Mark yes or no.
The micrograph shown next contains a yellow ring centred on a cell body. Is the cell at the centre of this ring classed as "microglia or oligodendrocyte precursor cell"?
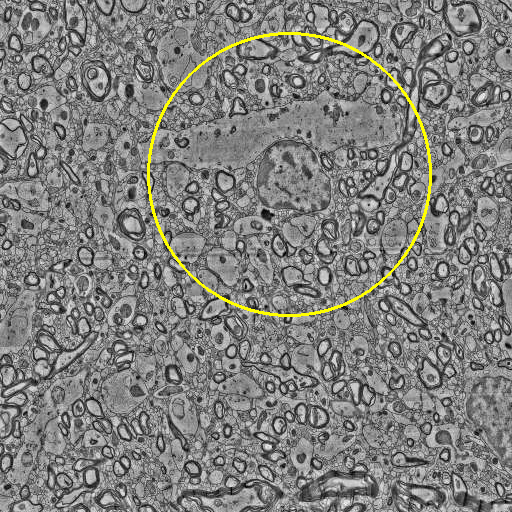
yes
